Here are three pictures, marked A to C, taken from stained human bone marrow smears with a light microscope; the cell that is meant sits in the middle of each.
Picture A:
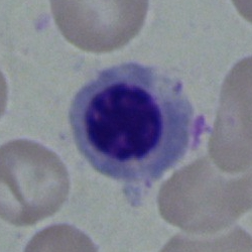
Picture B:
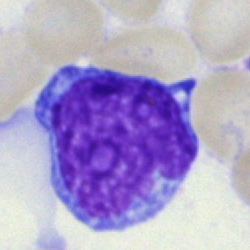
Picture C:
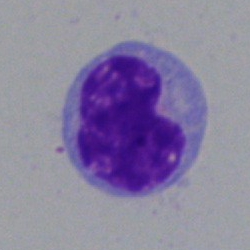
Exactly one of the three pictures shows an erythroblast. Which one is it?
A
